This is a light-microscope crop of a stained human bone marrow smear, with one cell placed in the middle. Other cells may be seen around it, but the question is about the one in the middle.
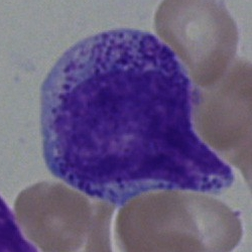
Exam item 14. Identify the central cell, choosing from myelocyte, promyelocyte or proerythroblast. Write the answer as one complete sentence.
The cell marked by its central position in the crop is a myelocyte.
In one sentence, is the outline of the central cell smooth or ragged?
The edge of the cell is broken up by ragged stretches or by outward projections.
